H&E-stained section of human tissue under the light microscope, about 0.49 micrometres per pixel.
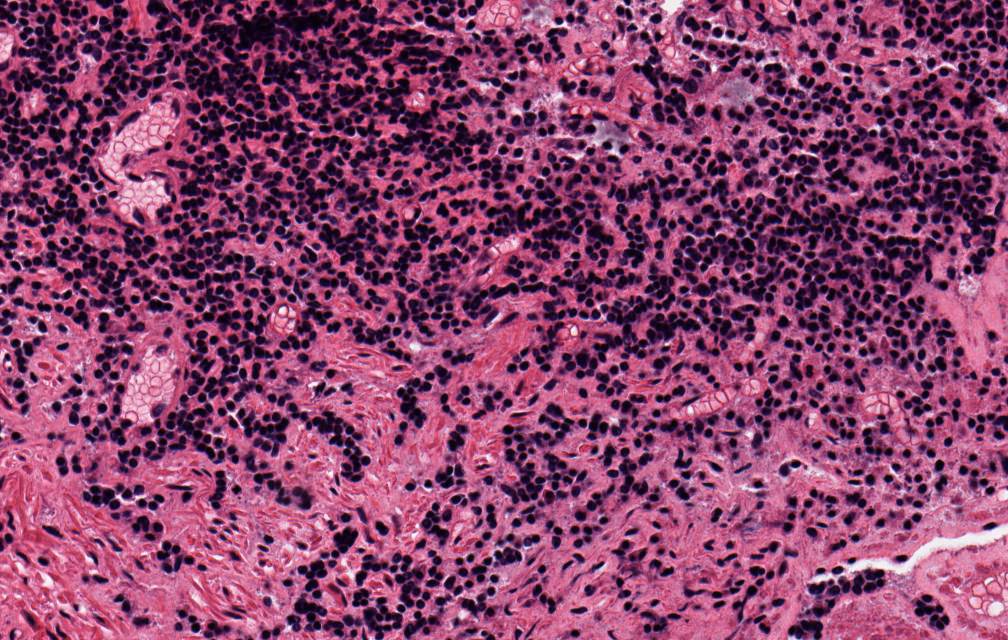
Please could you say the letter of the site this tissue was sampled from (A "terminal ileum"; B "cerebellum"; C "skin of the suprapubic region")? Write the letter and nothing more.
A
